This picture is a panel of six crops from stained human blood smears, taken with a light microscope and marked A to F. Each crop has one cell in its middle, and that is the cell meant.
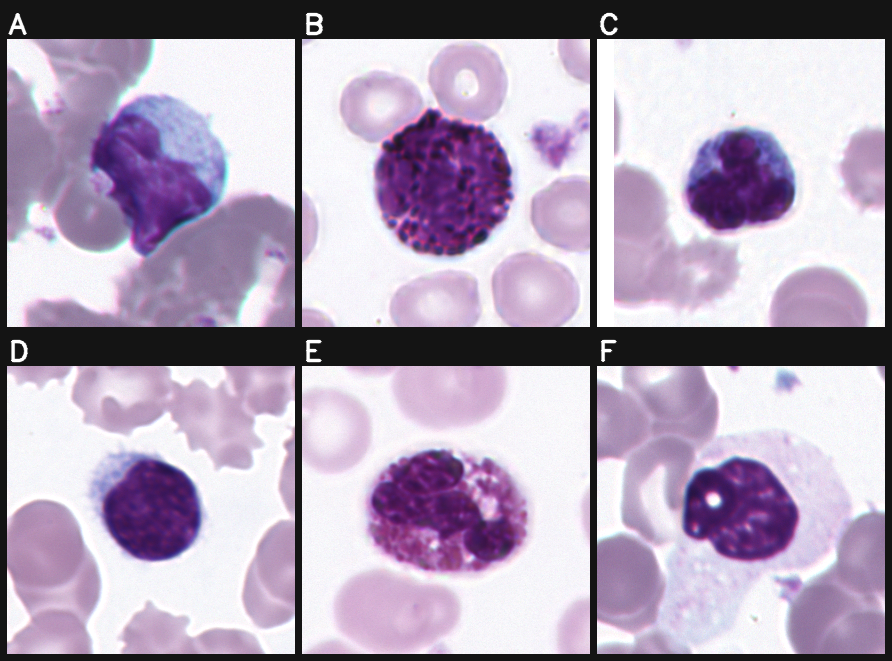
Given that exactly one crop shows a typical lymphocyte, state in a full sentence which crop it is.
Crop A is the one depicting a typical lymphocyte.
